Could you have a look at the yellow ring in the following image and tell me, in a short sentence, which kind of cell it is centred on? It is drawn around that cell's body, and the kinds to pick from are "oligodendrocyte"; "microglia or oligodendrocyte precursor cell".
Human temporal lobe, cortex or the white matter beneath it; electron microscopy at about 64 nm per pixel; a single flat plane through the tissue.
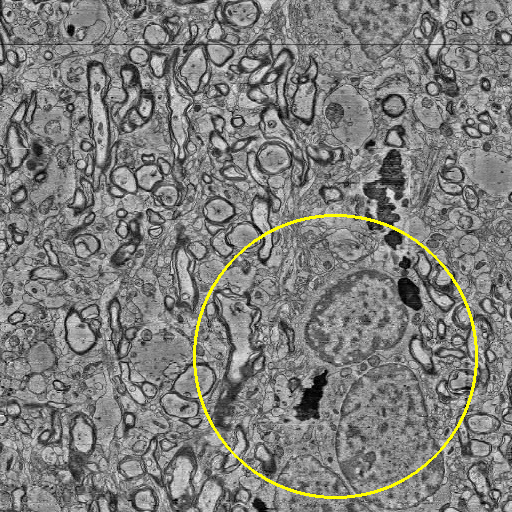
The ring is centred on the body of an oligodendrocyte.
